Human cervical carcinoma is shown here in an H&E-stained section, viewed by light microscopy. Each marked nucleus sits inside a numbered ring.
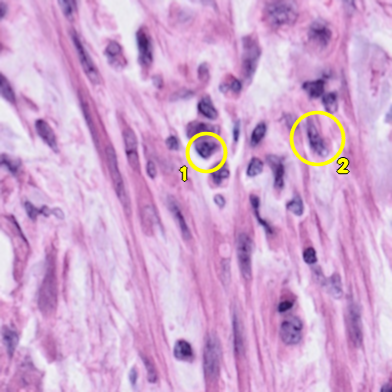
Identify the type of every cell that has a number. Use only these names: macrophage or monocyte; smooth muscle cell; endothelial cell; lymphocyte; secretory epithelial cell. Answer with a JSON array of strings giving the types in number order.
["lymphocyte", "macrophage or monocyte"]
